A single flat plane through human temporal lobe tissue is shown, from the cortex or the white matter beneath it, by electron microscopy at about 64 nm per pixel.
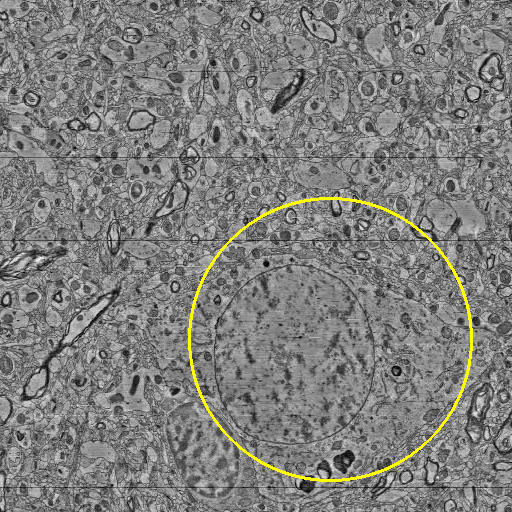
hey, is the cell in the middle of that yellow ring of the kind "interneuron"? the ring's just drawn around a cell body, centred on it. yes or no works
no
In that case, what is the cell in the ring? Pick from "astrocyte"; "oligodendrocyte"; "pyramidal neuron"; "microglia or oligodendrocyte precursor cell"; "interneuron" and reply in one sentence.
The cell at the middle of the ring is a pyramidal neuron.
